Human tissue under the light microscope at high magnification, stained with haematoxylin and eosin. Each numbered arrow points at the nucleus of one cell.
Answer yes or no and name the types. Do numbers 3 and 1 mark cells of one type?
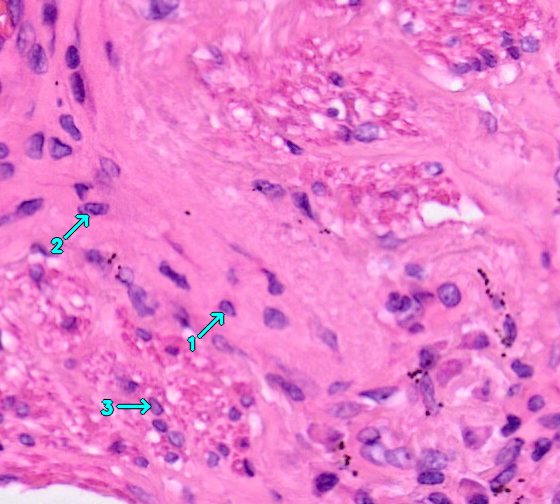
No, cell 3 is a smooth muscle cell or pericyte, and cell 1, in contrast, is a mast cell.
